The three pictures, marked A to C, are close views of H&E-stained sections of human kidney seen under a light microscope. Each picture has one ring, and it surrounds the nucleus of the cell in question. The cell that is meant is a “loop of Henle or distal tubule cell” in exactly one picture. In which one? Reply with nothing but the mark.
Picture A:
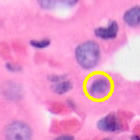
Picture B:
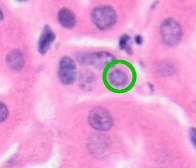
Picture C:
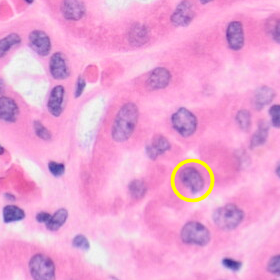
A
